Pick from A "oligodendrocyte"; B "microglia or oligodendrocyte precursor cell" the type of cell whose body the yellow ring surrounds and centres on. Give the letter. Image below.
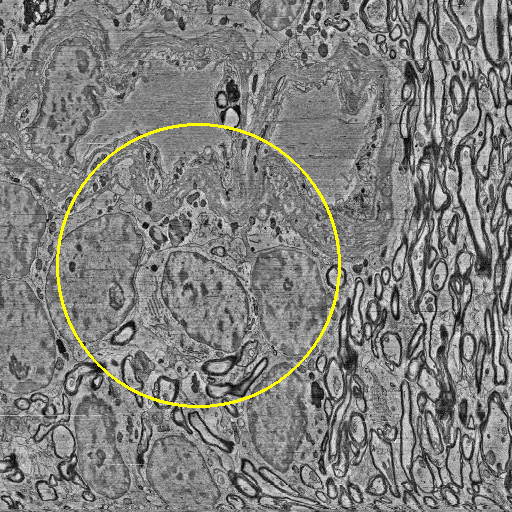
B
